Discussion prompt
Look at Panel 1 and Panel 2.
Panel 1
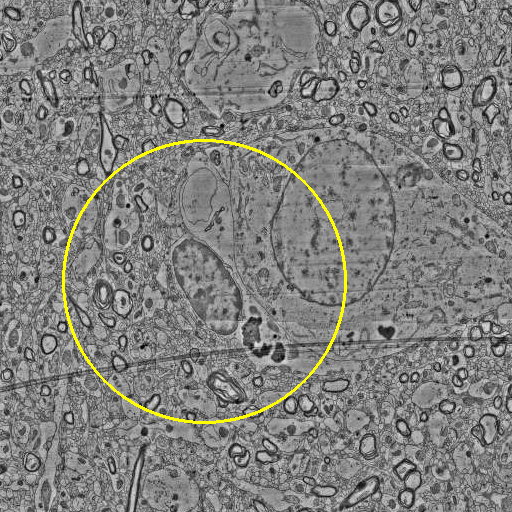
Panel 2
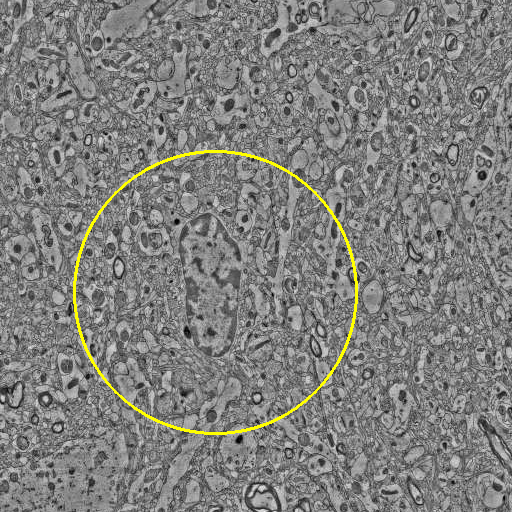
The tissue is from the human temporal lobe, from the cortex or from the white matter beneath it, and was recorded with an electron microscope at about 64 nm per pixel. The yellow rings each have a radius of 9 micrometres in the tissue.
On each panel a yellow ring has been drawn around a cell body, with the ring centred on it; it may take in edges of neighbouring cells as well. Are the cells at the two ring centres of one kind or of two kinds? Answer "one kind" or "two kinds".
one kind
